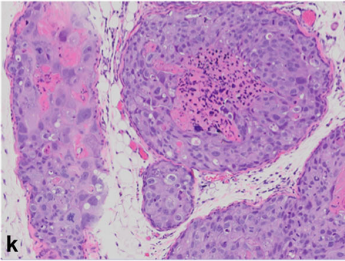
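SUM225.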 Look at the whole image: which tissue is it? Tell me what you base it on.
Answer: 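Rounded and elongated nests of tumor cells sit in loose pale stroma. The nests are sharply bounded from the surrounding stroma. Some nests hold debris or pink material in their centre. The answer: intraductal tumors.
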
